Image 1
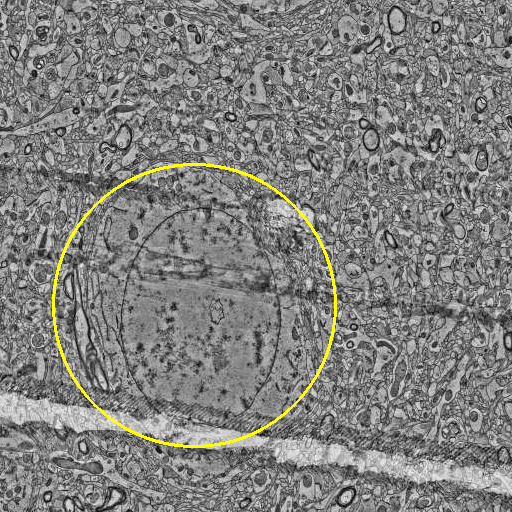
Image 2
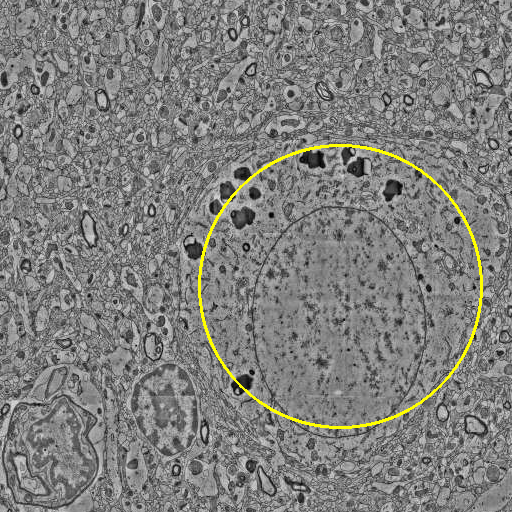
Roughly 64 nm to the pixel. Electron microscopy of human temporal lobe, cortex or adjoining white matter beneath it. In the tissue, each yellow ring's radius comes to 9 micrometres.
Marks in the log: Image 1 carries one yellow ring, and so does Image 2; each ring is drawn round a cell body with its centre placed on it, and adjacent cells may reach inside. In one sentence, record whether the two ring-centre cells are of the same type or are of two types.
The two cells at the ring centres, one in each image, are of the same type.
